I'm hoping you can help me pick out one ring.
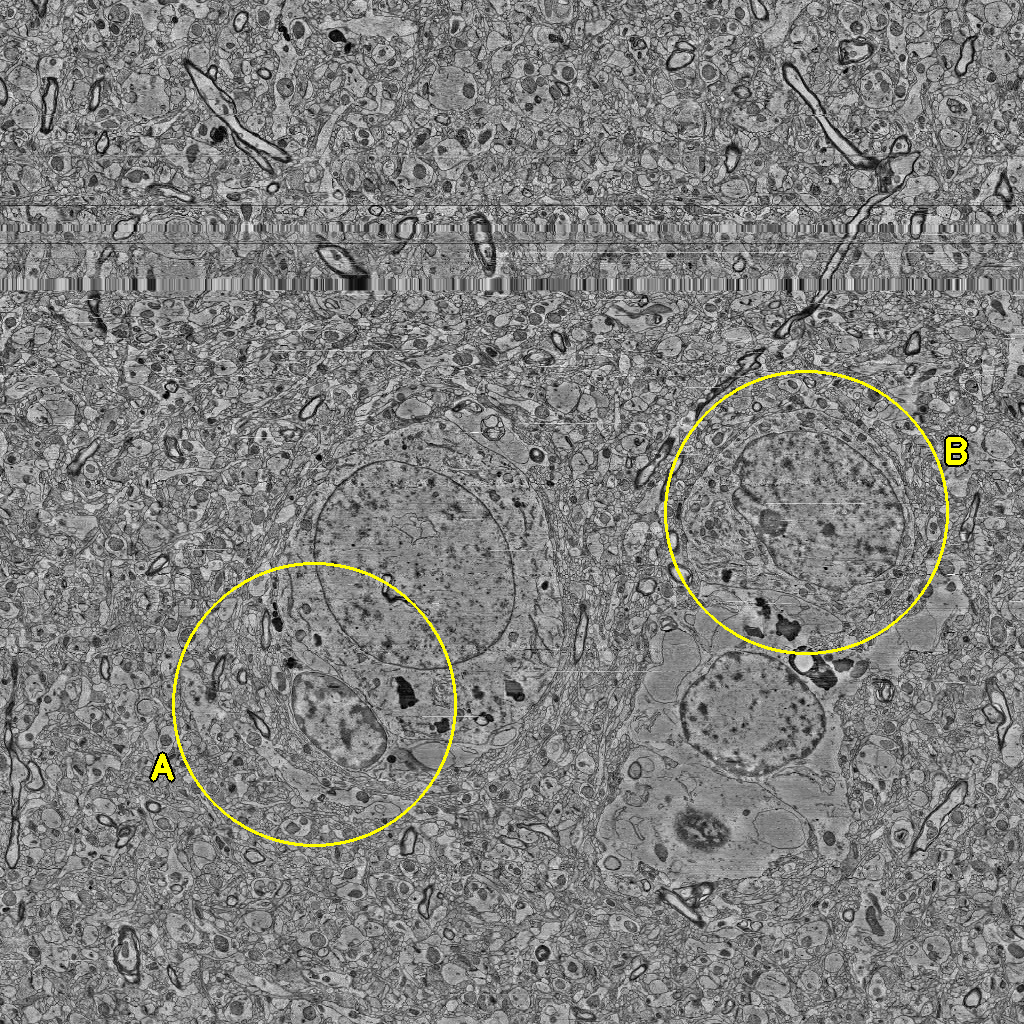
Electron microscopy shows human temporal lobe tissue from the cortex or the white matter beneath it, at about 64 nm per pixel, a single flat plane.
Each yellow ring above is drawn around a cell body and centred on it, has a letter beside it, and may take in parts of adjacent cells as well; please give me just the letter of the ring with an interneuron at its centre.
B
